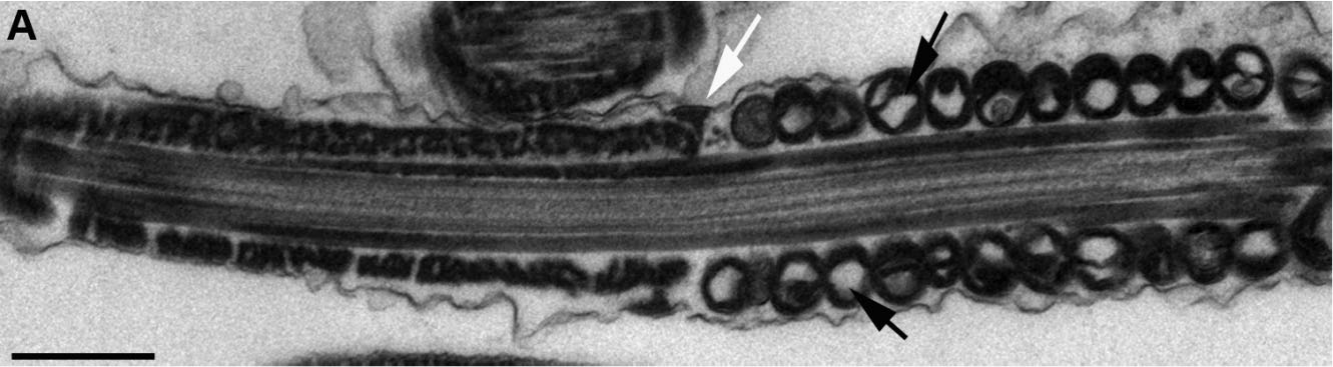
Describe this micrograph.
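This longitudinal section through a sperm flagellum shows the junction between the mid-piece and the following segment, with the central axoneme running horizontally through the whole field. On the right, round mitochondrial profiles with dark double rims and often pale centres sit in a tight row on both sides of the axoneme. At their left end a small dense triangular annulus lies against the membrane, and beyond it the axoneme is flanked by a denser, finely segmented sheath instead of mitochondria. The plasma membrane is loose and wavy around the flagellum.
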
